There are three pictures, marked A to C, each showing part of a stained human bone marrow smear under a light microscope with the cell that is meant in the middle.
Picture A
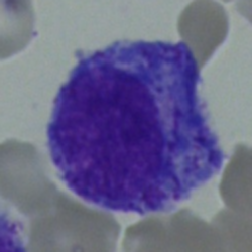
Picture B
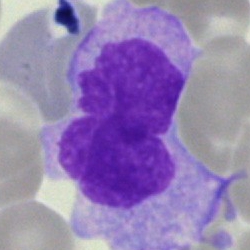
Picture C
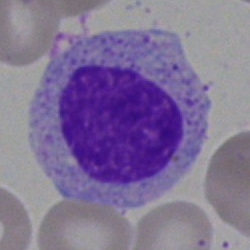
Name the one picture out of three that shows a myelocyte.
C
